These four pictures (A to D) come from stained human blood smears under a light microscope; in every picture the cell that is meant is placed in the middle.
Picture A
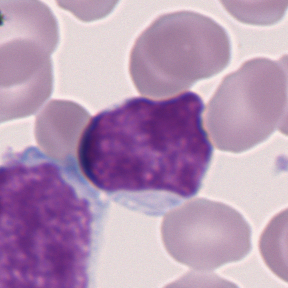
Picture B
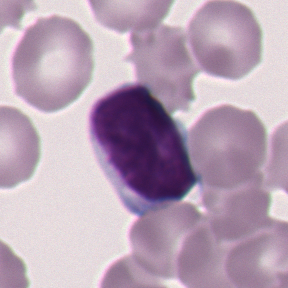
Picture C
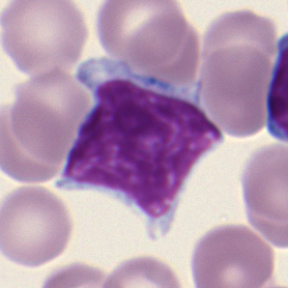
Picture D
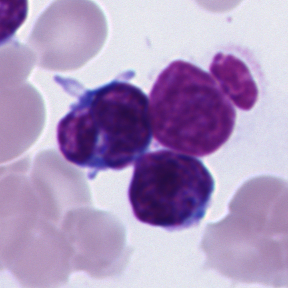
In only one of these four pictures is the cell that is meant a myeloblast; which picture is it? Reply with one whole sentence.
The myeloblast is the one in picture D.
